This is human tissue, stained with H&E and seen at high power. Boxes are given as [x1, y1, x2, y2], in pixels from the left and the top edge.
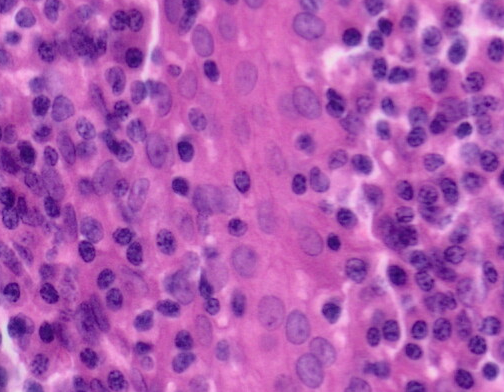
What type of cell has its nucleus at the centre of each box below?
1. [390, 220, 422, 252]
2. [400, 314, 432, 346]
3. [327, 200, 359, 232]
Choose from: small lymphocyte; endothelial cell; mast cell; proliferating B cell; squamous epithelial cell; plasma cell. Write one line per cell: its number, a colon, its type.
1: squamous epithelial cell
2: plasma cell
3: plasma cell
